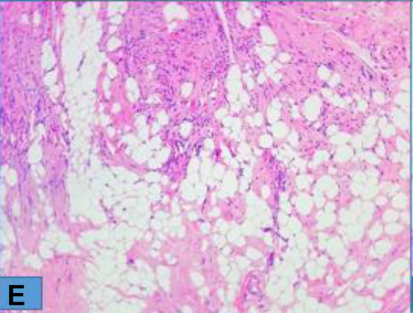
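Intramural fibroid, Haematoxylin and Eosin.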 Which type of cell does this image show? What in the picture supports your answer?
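Mature adipocytes. Many empty round to polygonal clear spaces of varying size. Thin membranes separate the clear spaces with compressed nuclei at the edge. Pink spindle-cell tissue lies between the clear-cell groups.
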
